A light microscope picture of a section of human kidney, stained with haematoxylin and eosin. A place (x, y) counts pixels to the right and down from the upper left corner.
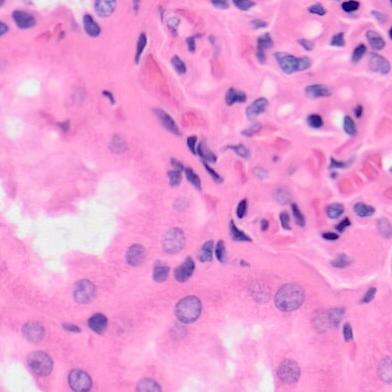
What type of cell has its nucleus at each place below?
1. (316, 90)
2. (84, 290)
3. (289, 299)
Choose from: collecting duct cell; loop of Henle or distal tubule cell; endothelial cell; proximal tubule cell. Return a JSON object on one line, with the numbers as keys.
{"1": "endothelial cell", "2": "proximal tubule cell", "3": "proximal tubule cell"}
